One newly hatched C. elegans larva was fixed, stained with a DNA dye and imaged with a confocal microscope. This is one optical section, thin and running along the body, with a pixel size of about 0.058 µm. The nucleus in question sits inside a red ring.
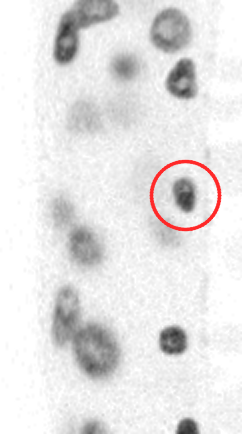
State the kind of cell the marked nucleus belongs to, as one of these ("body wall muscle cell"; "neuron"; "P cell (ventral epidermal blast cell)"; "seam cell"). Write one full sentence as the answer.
This is the nucleus of a body wall muscle cell.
